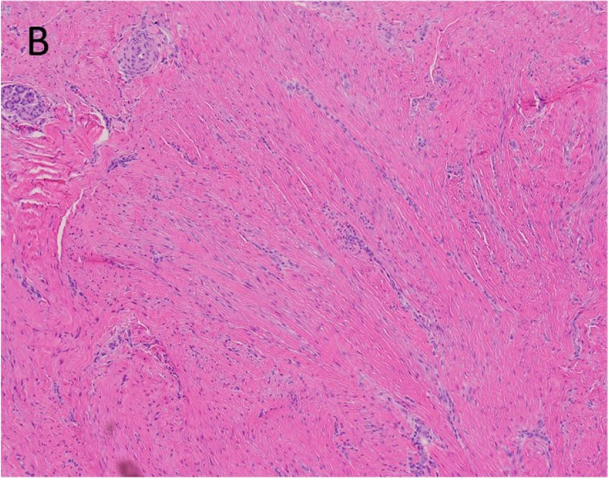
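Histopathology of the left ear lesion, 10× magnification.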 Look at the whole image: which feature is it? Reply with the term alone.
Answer: Intersecting and whorled fascicles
